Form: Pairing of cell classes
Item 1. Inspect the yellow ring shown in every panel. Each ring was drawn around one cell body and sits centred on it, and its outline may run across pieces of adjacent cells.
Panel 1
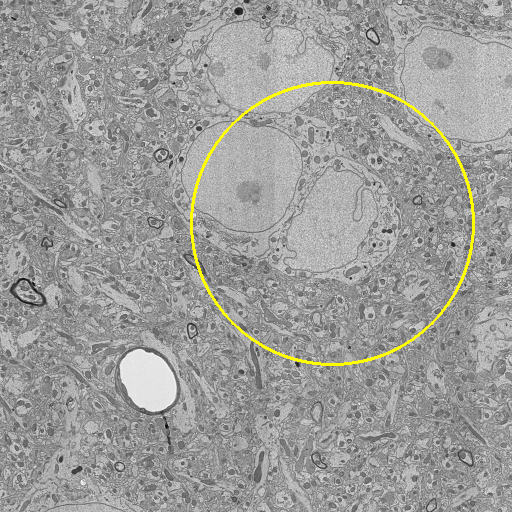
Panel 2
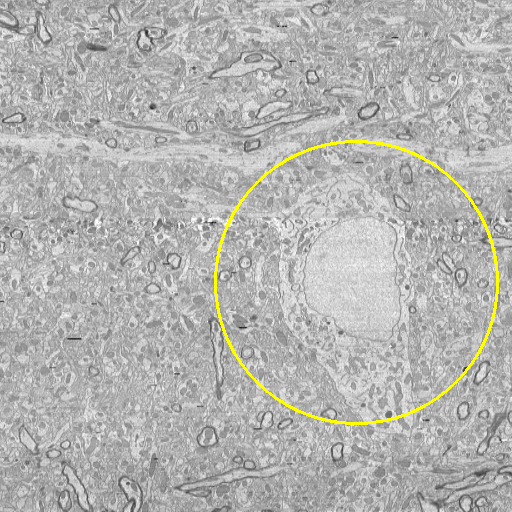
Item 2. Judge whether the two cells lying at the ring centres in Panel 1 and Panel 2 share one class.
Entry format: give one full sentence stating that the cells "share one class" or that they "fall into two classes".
The cells at the ring centres in Panel 1 and Panel 2 share one class.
